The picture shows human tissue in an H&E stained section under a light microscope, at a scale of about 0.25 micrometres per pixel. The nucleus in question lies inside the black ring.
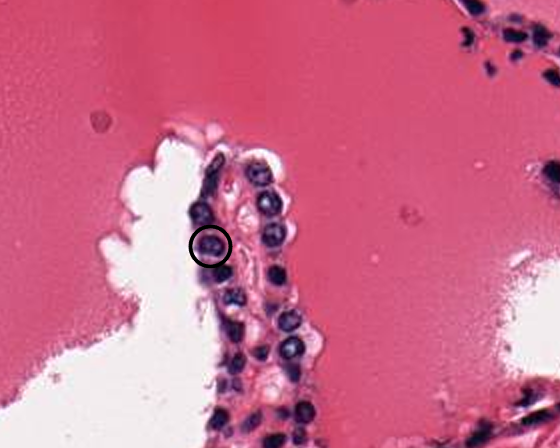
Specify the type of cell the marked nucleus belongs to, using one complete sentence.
Here it is a thyroid follicular cell that the marked nucleus belongs to.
